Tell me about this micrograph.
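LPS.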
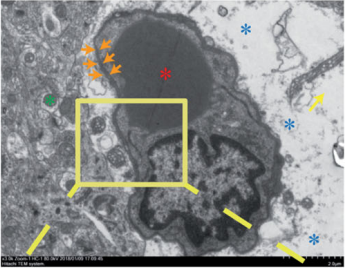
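Here a brain capillary is seen with its endothelial cell, whose large irregular nucleus bulges at the lower side of the vessel, and a thin basal lamina along the outer wall. The striking feature is on the right: large pale, nearly empty spaces lie against the vessel, the swollen astroglial end feet, far wider than the compact processes elsewhere. Fragments of membranes float within them. Toward the left the neuropil with axon and dendrite profiles and mitochondria is still compact, and a myelin sheath can be seen at the edge.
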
